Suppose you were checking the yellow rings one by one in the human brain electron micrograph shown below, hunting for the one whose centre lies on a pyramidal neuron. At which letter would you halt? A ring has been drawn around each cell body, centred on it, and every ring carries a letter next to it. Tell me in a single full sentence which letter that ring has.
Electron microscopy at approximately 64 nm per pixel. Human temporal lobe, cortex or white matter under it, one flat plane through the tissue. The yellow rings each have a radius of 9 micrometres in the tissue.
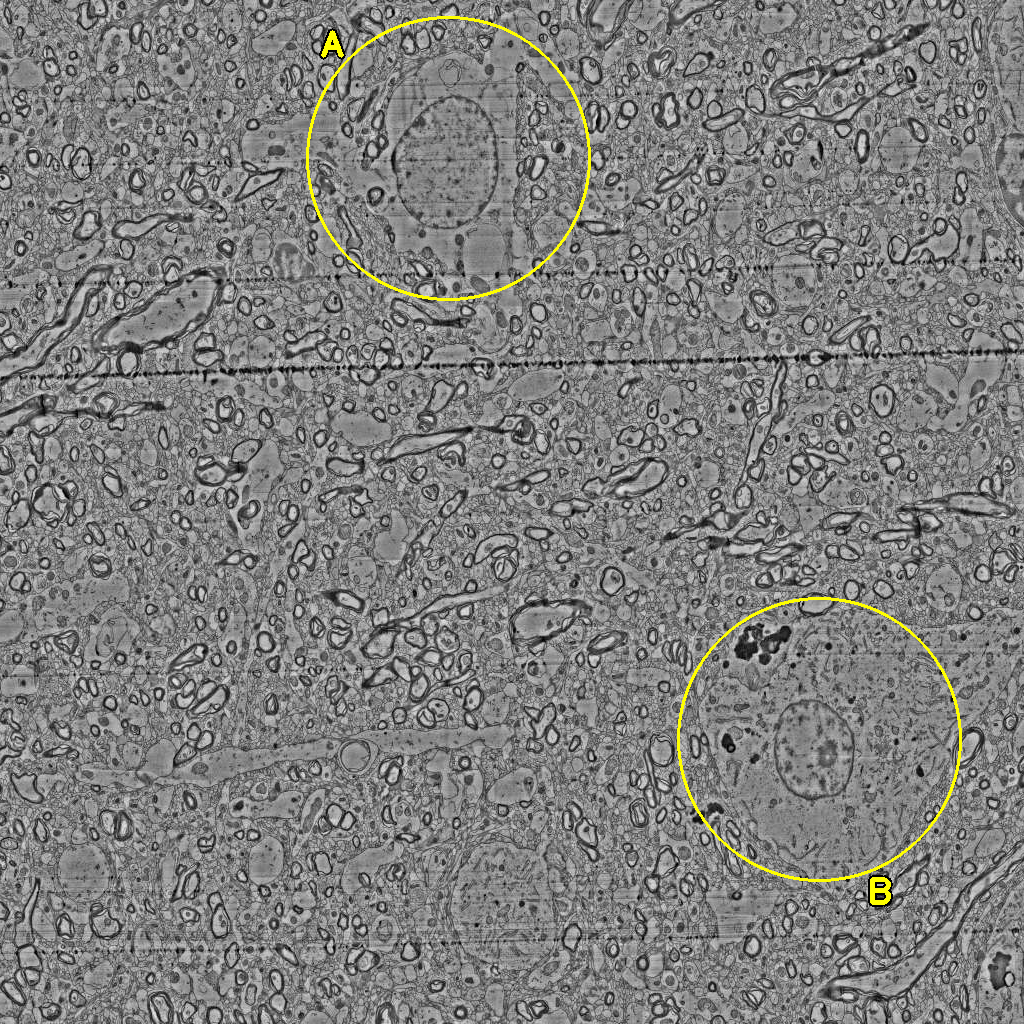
Going through the rings, I would stop at ring B, the one centred on the cell asked for.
